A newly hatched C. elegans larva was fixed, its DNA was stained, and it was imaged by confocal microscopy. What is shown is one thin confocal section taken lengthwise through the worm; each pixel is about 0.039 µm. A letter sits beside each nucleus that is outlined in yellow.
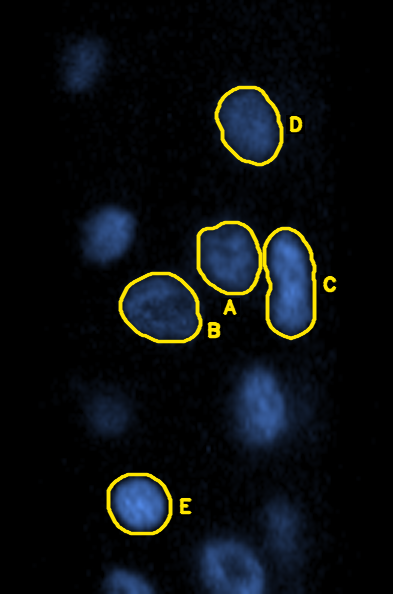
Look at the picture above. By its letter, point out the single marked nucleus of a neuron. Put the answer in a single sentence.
E is the one that belongs to a neuron.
